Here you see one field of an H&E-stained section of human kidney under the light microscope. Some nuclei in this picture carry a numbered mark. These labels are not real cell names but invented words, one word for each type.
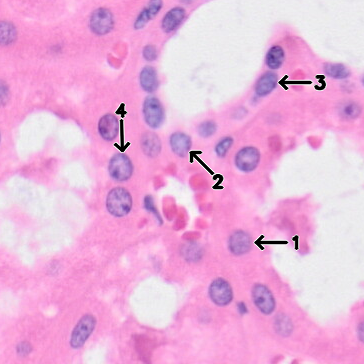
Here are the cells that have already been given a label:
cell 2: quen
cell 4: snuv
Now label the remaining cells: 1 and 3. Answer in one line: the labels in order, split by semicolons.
snuv; quen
